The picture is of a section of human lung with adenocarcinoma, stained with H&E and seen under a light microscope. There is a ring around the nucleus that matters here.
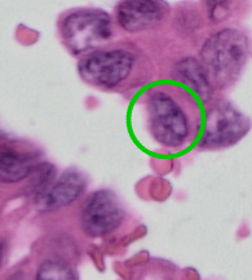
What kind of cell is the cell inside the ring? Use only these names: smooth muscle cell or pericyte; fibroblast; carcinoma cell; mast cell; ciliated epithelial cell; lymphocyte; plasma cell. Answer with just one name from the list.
carcinoma cell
